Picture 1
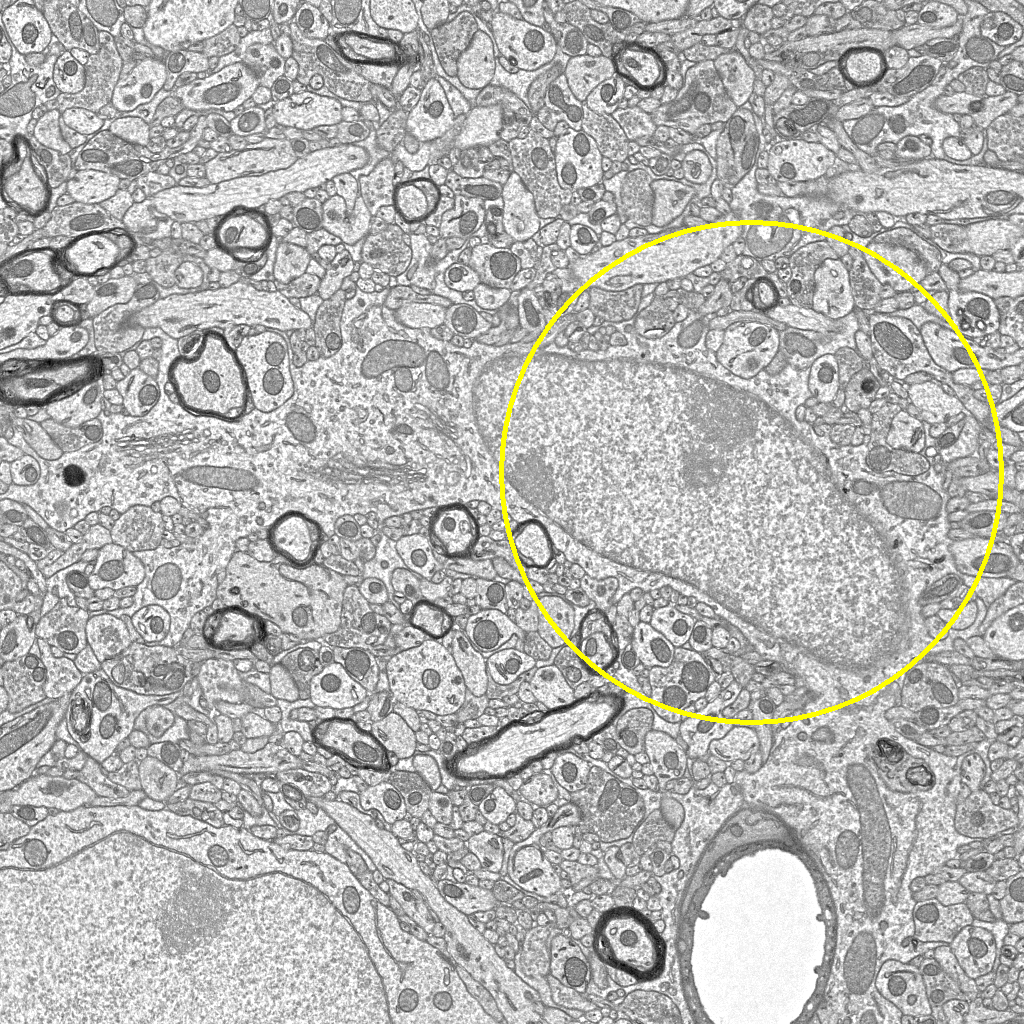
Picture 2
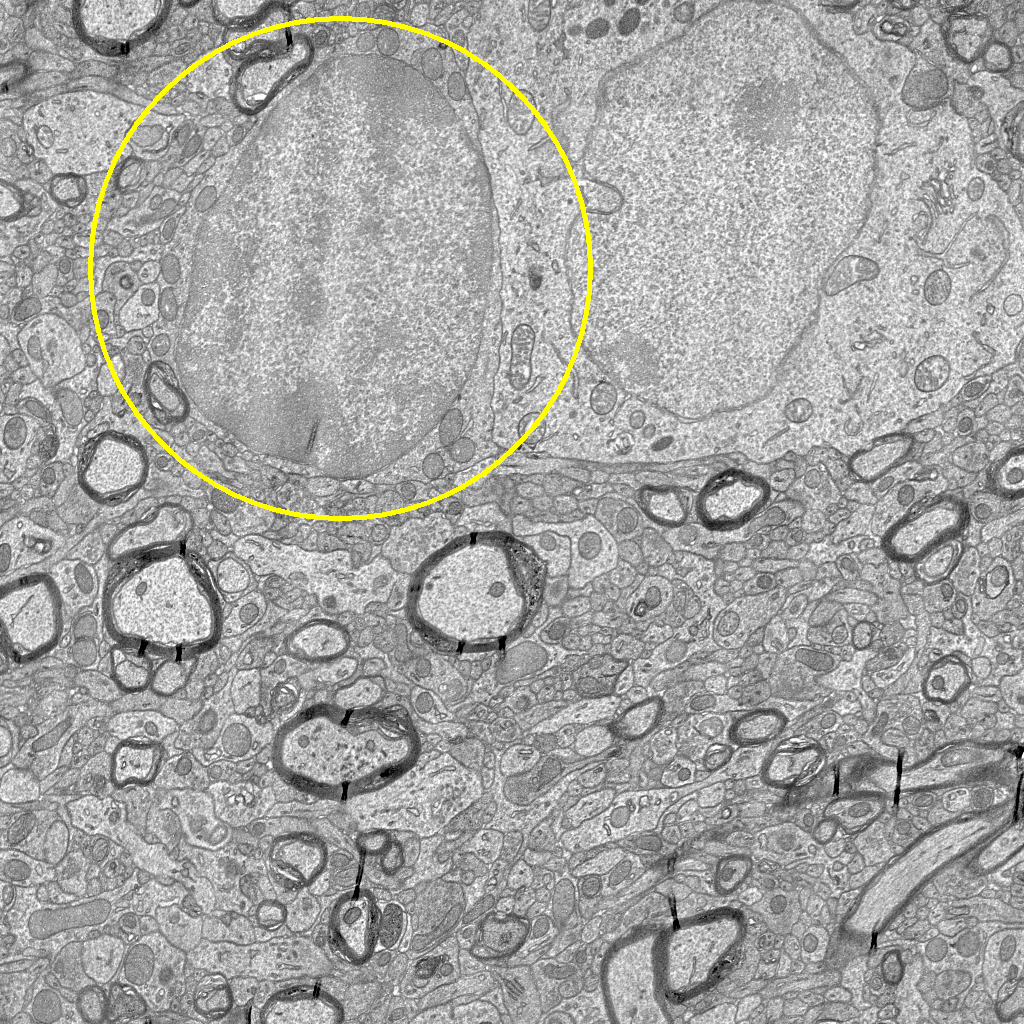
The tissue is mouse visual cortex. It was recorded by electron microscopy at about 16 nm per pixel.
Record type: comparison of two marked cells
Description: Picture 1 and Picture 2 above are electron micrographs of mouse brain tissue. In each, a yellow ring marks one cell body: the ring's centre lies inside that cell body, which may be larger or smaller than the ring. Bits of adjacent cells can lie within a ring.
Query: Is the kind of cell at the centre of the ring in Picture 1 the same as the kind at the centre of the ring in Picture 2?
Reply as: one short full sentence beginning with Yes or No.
No, the two cells at the ring centres are of two separate kinds.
